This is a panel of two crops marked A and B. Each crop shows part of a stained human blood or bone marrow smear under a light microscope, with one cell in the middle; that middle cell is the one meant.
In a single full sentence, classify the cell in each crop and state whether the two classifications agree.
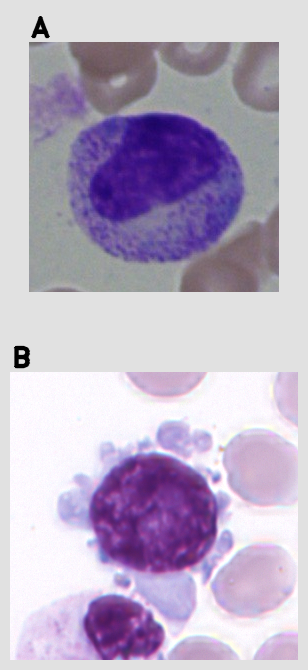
No, a myelocyte and a plasma cell are found in crop A and crop B, respectively.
